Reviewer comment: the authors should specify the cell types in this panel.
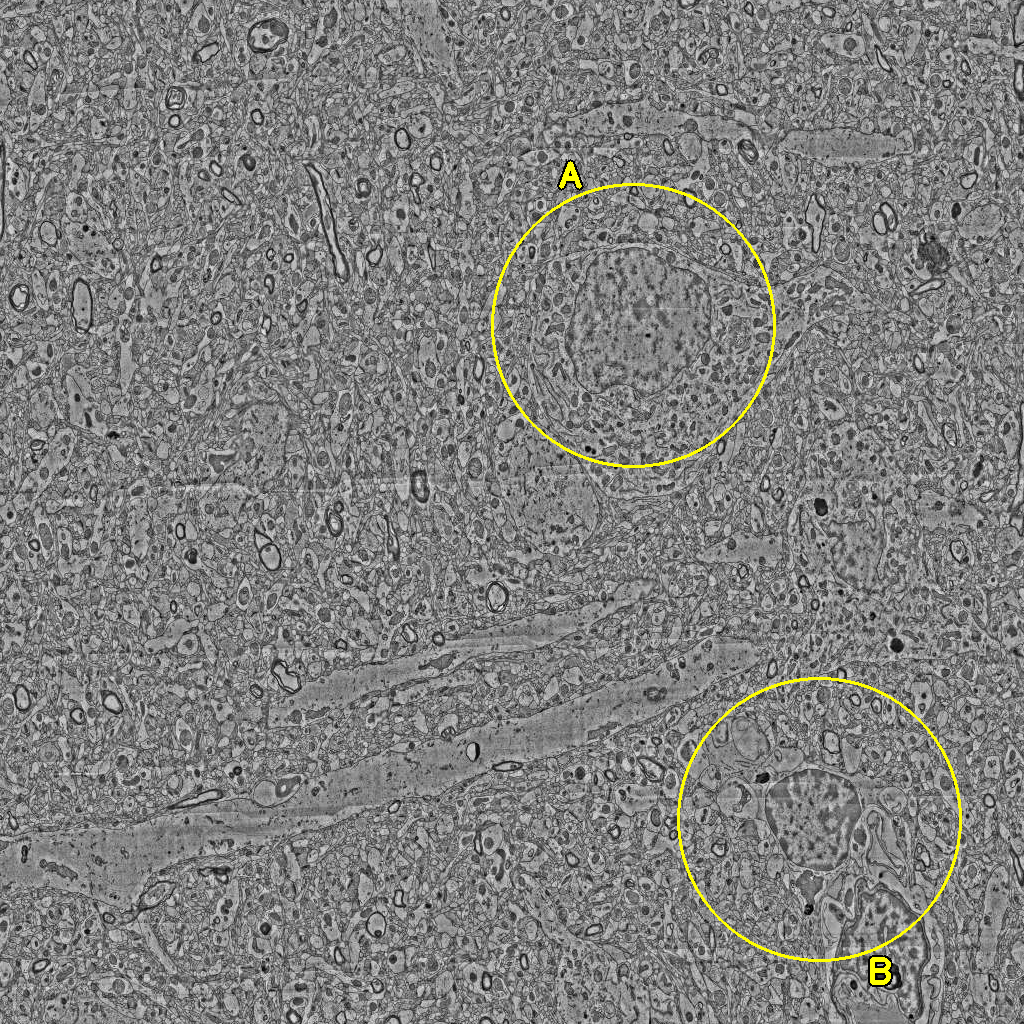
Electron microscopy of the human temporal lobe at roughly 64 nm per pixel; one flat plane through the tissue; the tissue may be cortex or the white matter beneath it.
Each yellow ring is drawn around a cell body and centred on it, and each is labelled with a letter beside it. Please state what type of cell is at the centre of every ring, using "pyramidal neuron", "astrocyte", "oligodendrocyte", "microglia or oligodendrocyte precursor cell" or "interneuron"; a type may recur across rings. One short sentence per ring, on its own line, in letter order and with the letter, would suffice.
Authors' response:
The cell centred within ring A is an interneuron.
The cell centred within ring B is a microglial cell or oligodendrocyte precursor cell.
